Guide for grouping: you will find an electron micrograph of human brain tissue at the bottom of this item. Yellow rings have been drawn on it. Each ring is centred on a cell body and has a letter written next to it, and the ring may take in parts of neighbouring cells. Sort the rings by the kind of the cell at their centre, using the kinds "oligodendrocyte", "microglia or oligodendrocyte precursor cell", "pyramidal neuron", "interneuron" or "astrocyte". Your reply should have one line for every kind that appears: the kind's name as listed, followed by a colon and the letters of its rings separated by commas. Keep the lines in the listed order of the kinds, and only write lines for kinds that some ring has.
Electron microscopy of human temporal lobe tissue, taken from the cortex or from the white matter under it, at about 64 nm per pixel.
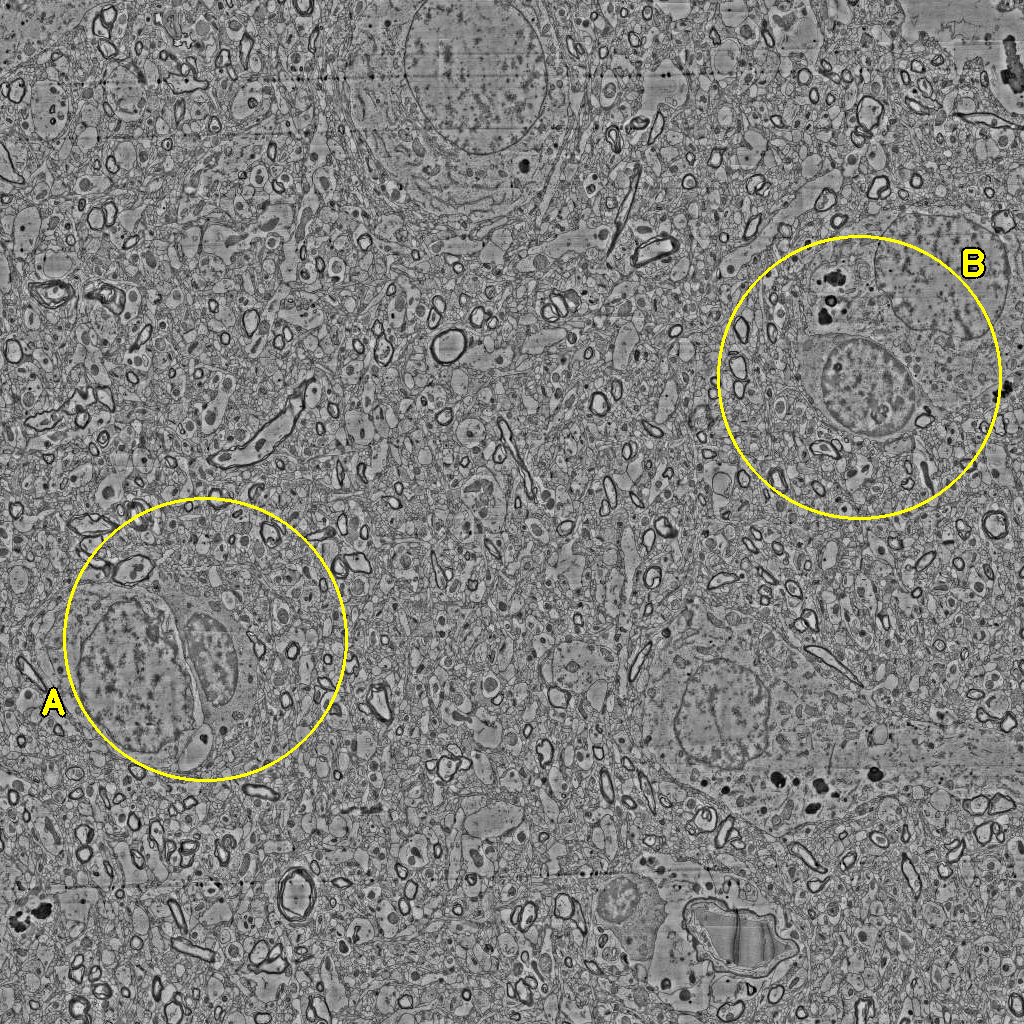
oligodendrocyte: A, B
